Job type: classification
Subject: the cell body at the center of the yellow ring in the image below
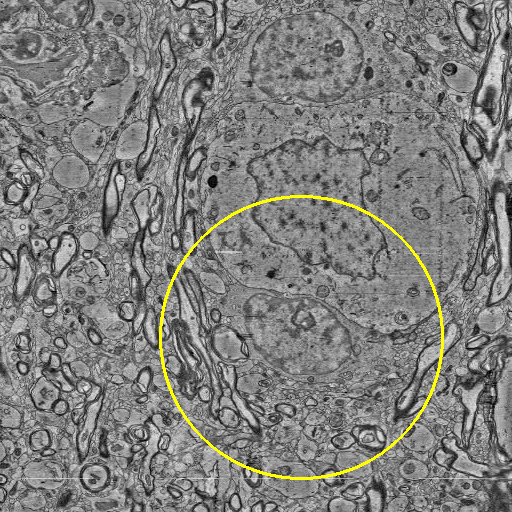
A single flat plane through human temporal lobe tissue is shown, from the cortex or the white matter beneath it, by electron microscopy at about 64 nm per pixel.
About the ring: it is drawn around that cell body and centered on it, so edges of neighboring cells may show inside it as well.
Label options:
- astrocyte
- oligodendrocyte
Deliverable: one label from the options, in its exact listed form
oligodendrocyte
